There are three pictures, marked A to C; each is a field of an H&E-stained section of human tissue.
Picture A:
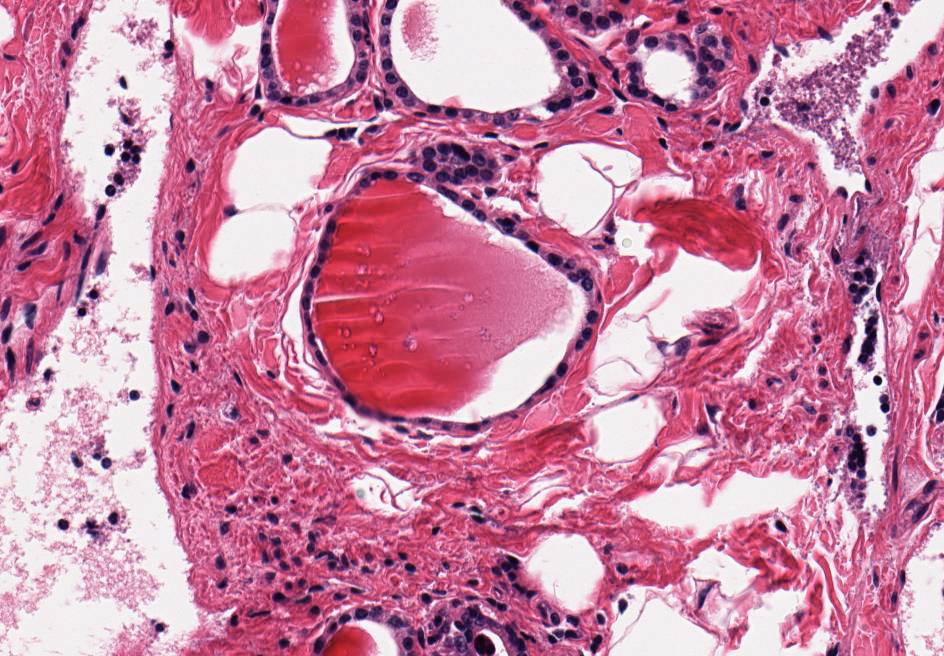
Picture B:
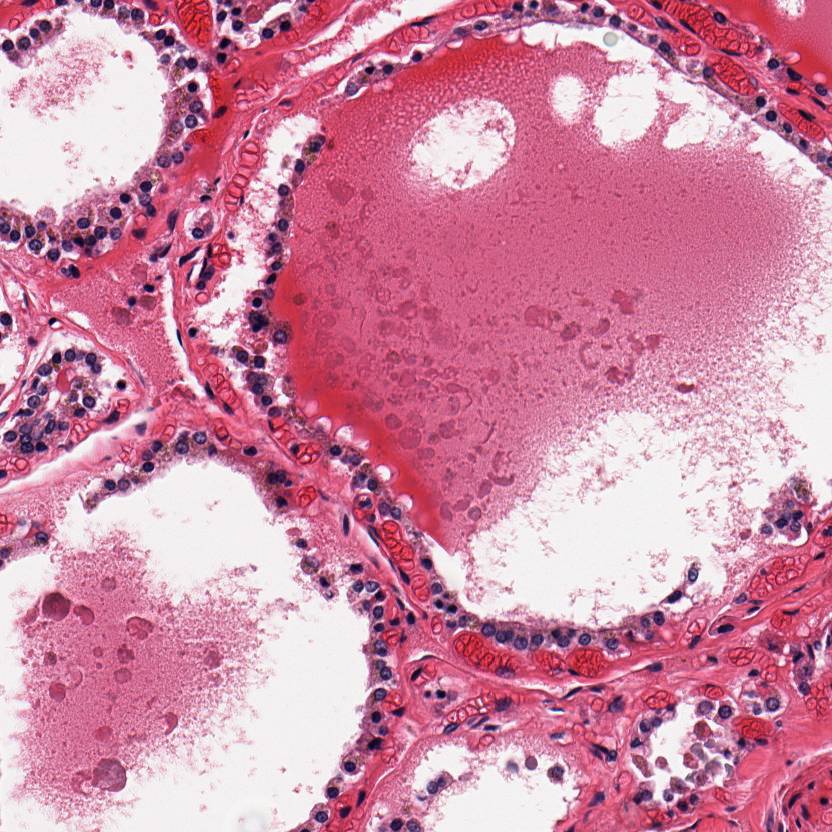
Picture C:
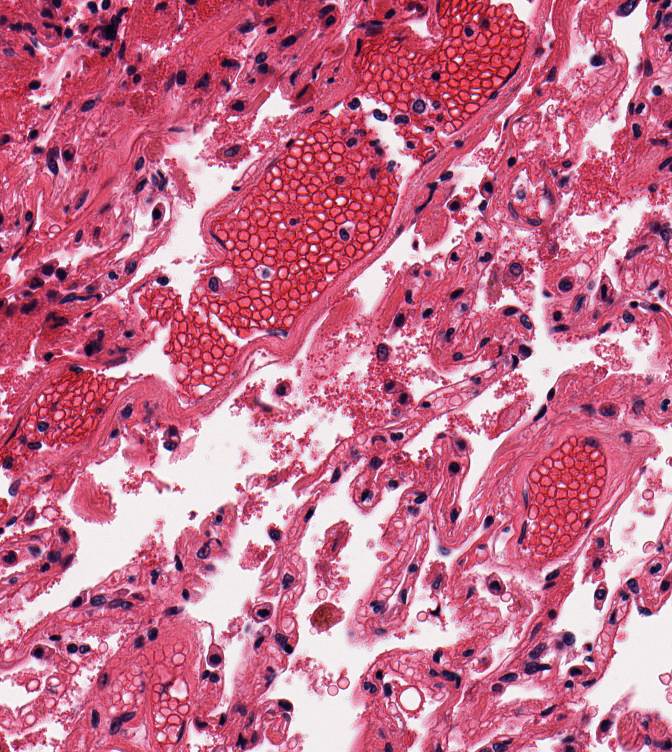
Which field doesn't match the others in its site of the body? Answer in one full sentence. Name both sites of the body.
Unlike the rest, which come from the thyroid, picture C comes from the lung.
